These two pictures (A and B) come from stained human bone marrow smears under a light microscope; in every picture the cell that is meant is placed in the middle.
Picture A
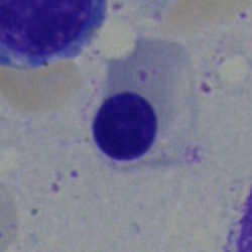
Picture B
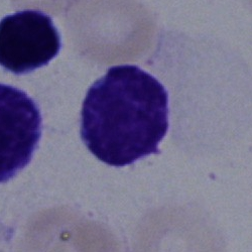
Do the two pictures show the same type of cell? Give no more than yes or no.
no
